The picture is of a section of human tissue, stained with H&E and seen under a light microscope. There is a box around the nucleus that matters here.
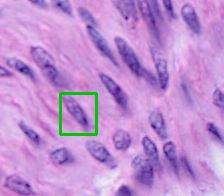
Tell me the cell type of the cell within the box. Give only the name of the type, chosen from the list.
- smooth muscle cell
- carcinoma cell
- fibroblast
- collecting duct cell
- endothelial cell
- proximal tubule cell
smooth muscle cell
